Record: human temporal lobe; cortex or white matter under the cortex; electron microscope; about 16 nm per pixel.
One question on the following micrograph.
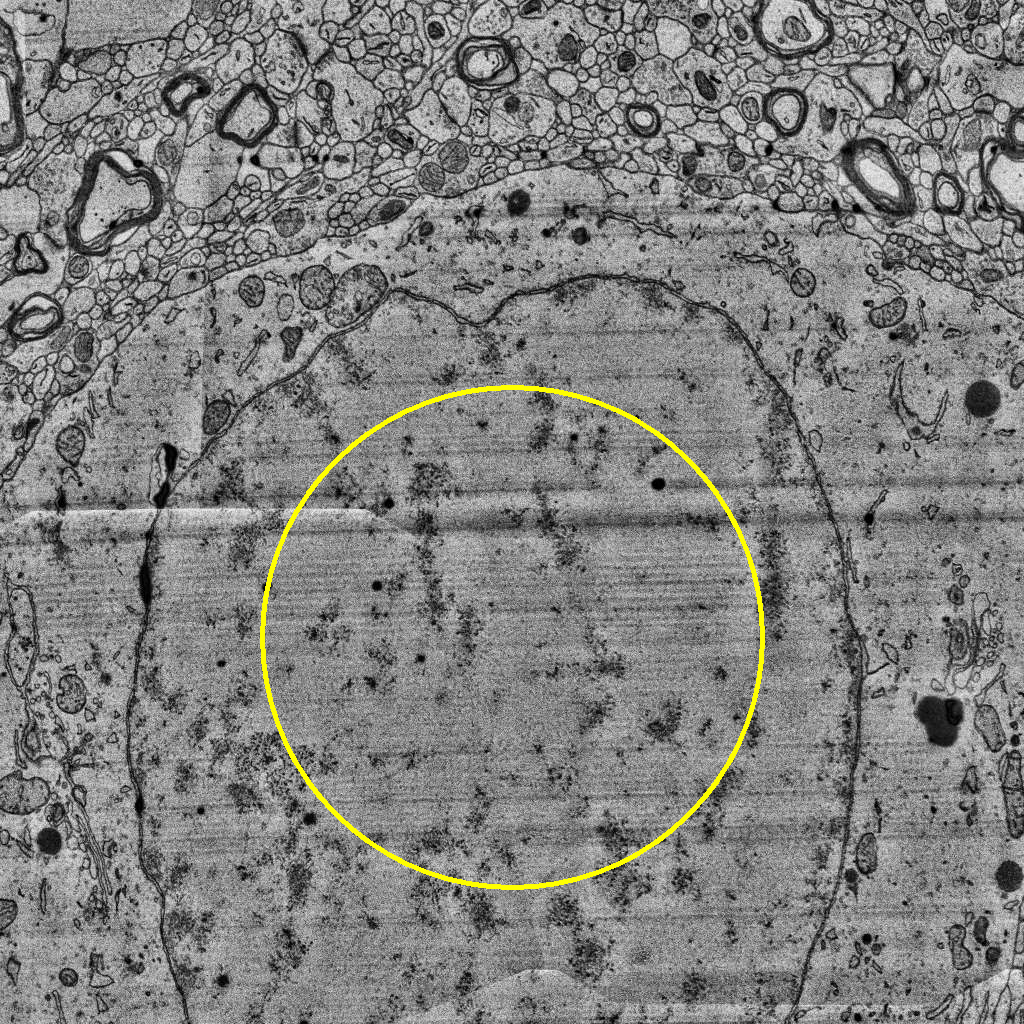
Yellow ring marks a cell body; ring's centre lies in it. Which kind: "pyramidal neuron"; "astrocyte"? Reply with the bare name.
pyramidal neuron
